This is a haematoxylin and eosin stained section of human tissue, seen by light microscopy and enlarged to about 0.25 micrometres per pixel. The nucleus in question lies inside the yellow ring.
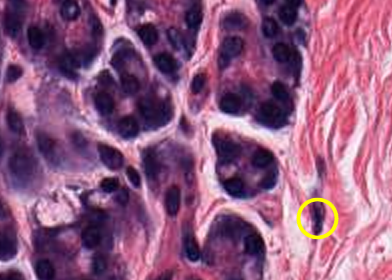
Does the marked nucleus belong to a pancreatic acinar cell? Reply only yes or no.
no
